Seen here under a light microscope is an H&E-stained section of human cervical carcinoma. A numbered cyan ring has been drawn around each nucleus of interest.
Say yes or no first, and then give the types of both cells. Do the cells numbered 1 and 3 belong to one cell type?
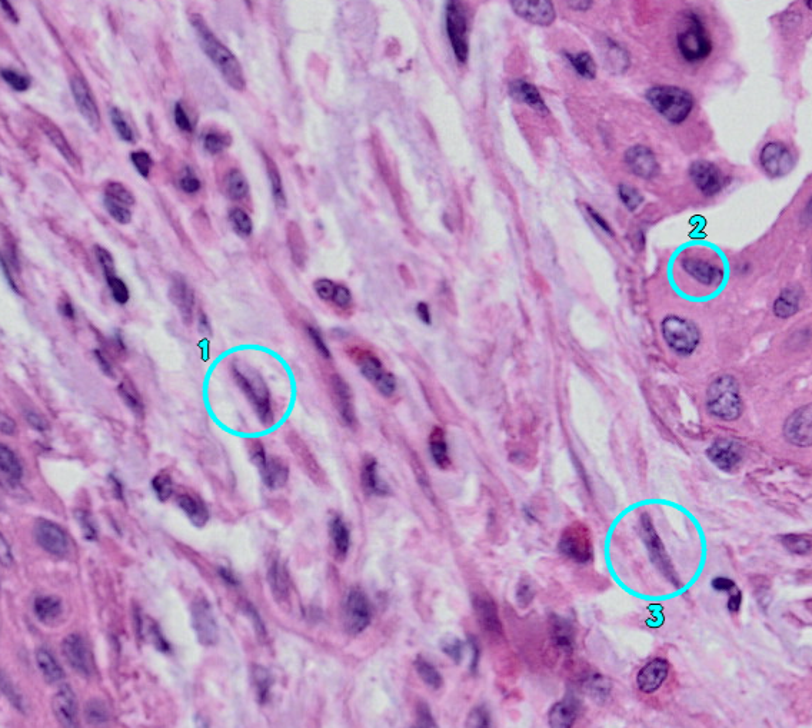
Yes, each of the two cells, 1 and 3, is among the fibroblasts.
